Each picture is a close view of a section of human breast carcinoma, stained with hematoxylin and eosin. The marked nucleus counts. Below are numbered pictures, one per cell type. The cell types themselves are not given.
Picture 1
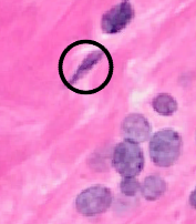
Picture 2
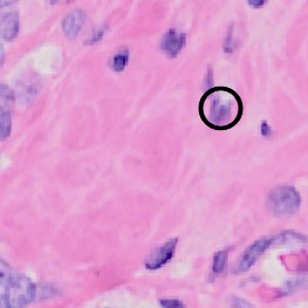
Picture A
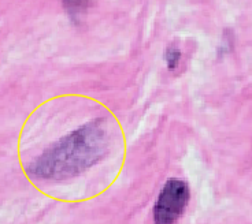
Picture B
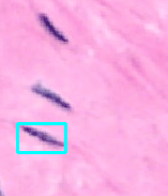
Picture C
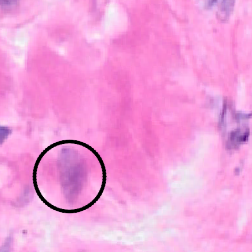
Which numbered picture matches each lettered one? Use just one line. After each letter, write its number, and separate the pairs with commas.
A 1, B 1, C 1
